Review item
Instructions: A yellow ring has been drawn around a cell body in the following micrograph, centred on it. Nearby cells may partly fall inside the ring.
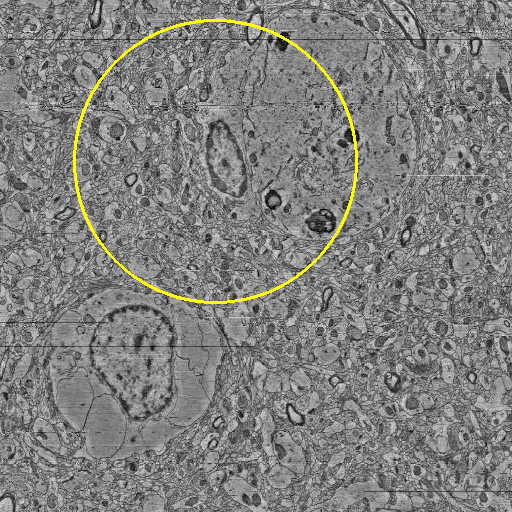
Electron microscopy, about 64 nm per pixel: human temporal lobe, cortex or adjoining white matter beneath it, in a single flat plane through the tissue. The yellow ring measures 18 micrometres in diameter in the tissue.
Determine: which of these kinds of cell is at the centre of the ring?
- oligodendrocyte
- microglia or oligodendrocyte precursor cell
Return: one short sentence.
The cell body in the middle of the ring is that of a microglial cell or oligodendrocyte precursor cell.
